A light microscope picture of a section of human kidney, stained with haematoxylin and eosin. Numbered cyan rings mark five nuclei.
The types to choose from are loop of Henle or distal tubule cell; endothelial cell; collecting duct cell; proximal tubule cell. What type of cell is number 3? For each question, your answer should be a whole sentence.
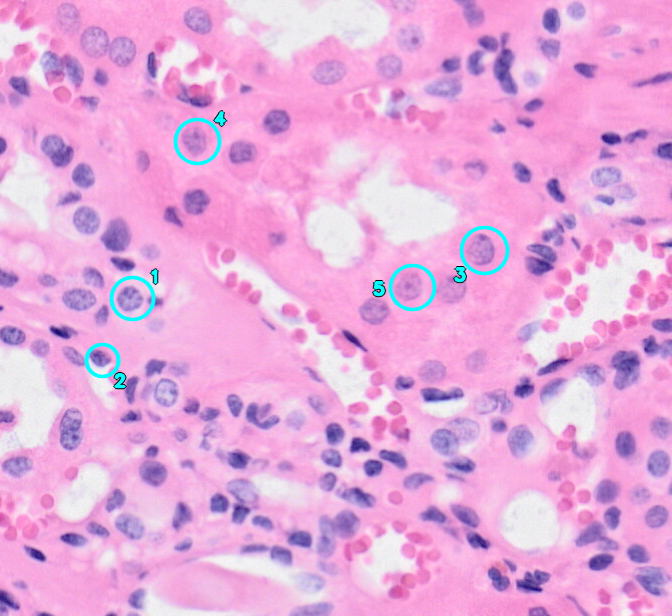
The numeral 3 marks a proximal tubule cell in this section.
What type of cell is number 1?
What the number 1 marks in this field is a collecting duct cell.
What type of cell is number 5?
The identity of cell 5 is that of a proximal tubule cell.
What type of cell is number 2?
The cell referenced by the number 2 is an endothelial cell in this field.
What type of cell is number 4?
The cell given label 4 is a proximal tubule cell.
